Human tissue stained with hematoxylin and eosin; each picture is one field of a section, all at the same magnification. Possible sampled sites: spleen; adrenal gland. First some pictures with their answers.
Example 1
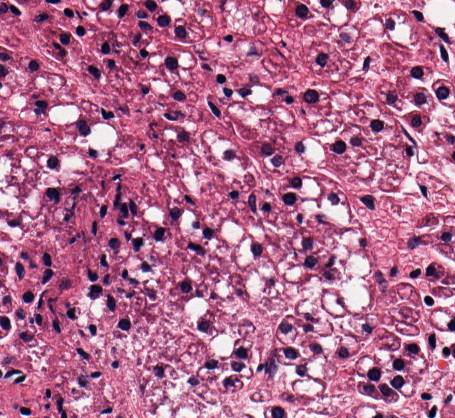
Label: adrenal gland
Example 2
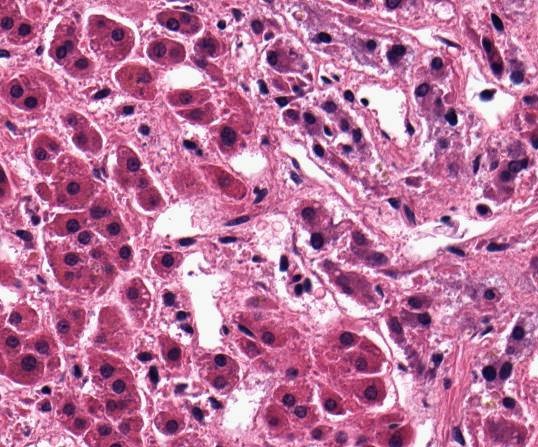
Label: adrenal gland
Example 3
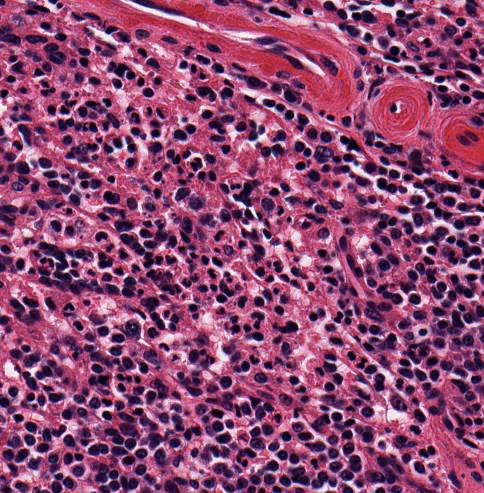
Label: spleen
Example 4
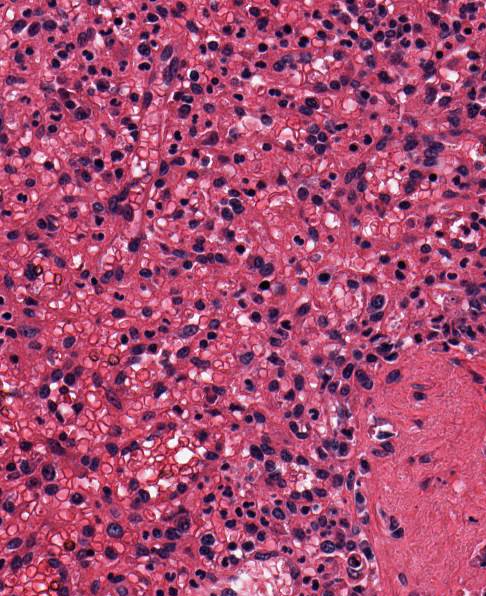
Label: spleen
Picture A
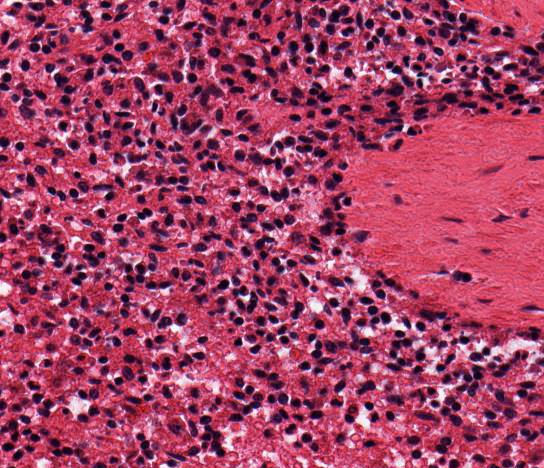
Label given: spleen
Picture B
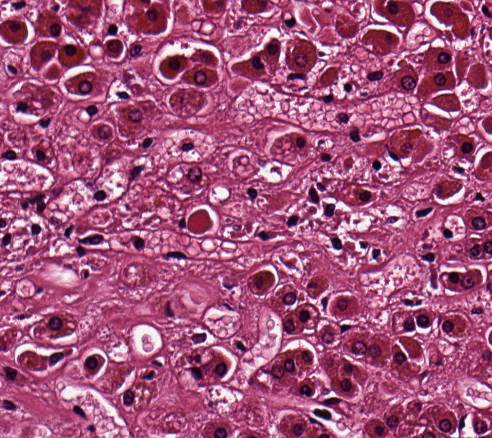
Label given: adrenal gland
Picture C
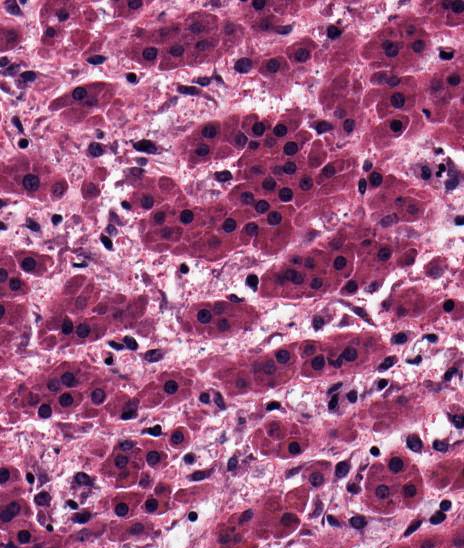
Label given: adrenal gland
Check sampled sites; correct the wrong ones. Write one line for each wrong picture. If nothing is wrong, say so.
Every label is right.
